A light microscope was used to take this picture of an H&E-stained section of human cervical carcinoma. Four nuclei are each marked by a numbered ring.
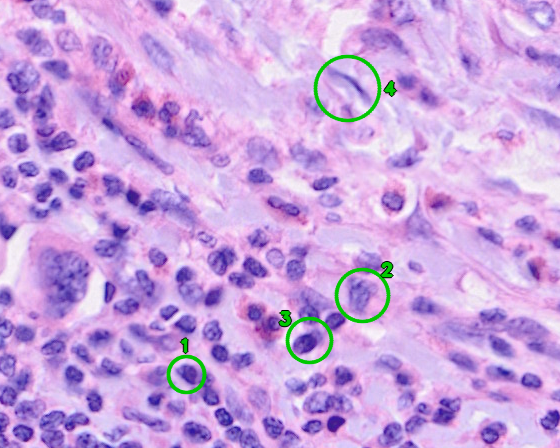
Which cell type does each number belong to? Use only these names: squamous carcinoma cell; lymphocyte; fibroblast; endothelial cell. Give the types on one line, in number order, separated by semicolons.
lymphocyte; endothelial cell; lymphocyte; fibroblast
